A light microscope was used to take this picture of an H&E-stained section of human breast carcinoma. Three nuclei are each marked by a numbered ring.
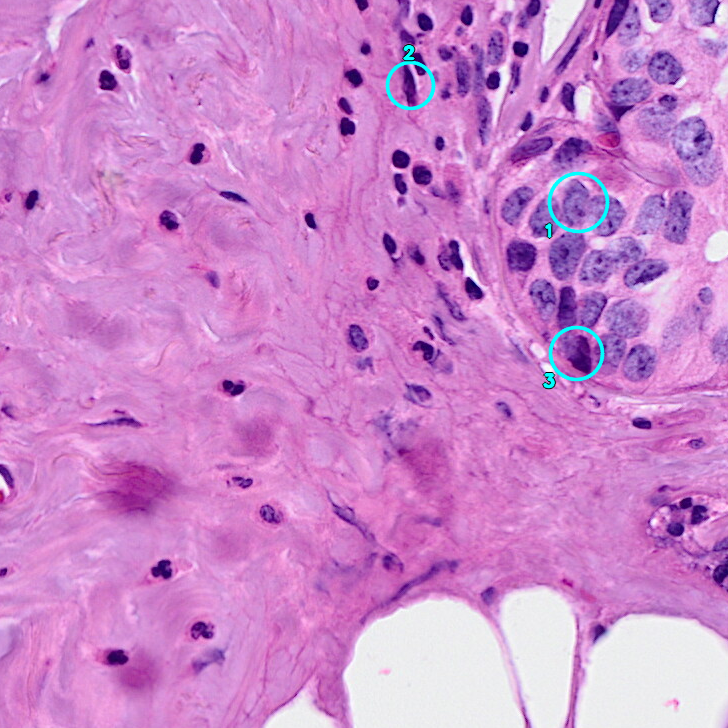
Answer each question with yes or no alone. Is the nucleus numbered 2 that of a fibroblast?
yes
